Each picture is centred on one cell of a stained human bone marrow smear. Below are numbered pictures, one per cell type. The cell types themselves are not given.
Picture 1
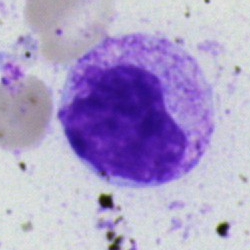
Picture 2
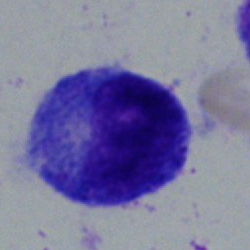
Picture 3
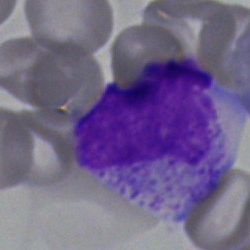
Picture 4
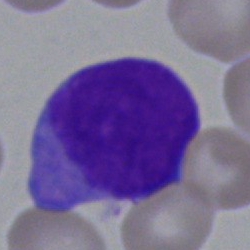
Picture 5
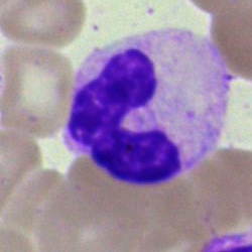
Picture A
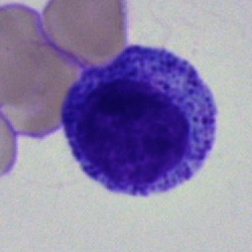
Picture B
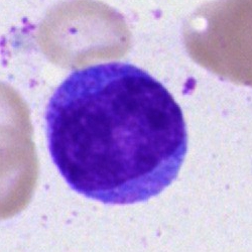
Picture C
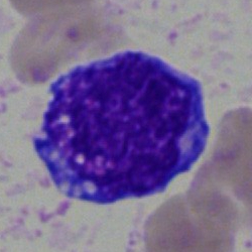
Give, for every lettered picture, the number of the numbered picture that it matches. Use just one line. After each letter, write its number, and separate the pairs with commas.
A 3, B 4, C 2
